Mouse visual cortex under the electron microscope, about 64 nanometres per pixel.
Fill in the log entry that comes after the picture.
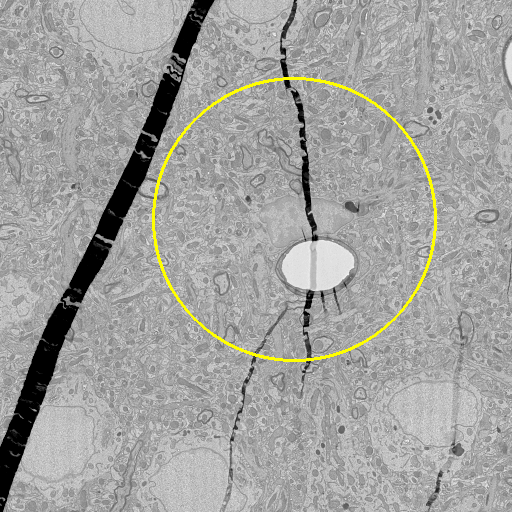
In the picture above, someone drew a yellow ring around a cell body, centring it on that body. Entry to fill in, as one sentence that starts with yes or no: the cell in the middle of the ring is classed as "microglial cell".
Yes, the cell in the ring's centre in this image is of the stated kind.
